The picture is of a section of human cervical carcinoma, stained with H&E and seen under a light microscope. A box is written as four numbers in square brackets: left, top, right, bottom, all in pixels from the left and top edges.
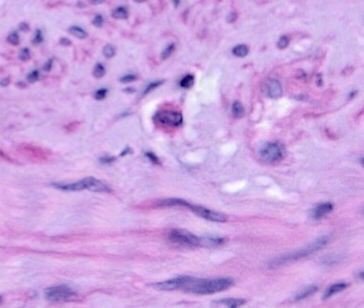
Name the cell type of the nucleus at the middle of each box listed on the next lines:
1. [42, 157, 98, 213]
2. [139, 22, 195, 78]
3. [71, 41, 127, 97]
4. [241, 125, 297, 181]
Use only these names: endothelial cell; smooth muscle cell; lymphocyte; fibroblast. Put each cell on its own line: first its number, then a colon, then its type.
1: fibroblast
2: smooth muscle cell
3: smooth muscle cell
4: endothelial cell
